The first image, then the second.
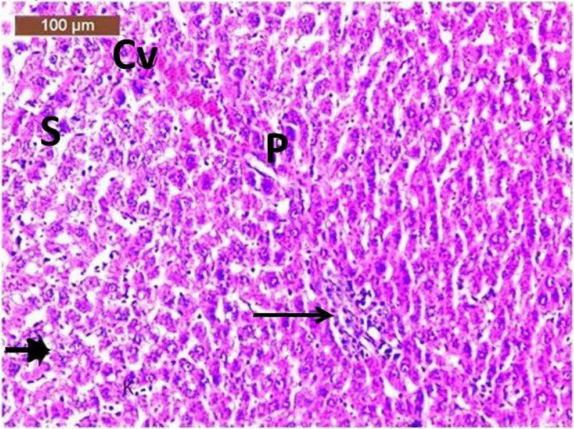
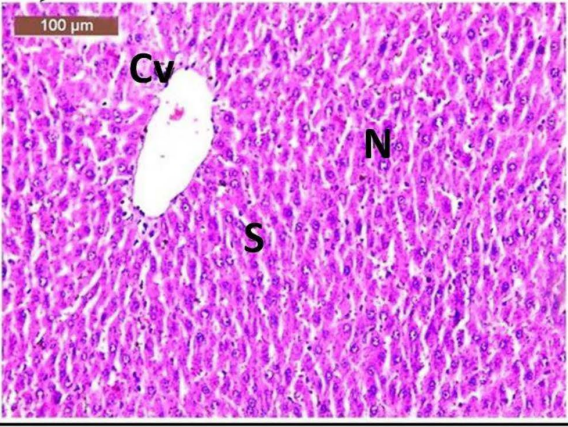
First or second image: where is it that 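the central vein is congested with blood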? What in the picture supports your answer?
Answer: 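The first image. Second image: the central vein has an open, clear lumen with only a small clump of red cells. First image: the central vein region is filled with red blood cells.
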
